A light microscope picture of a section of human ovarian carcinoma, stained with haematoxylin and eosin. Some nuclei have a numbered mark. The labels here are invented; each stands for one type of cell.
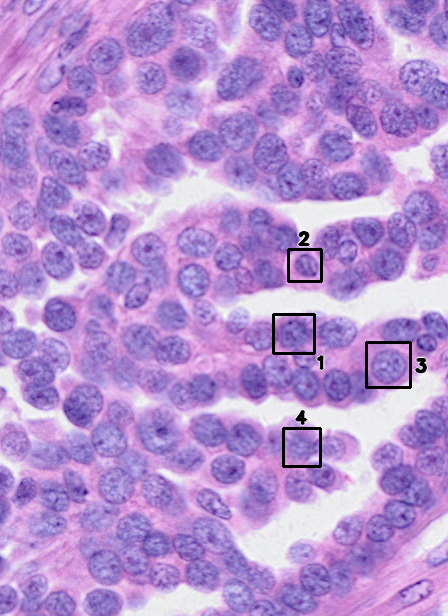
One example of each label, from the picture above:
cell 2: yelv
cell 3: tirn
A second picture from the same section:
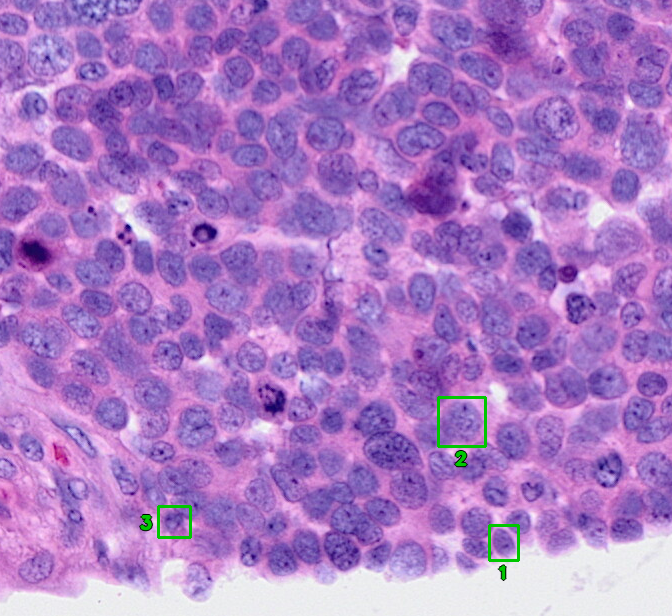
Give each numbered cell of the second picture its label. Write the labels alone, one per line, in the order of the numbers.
tirn
tirn
yelv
